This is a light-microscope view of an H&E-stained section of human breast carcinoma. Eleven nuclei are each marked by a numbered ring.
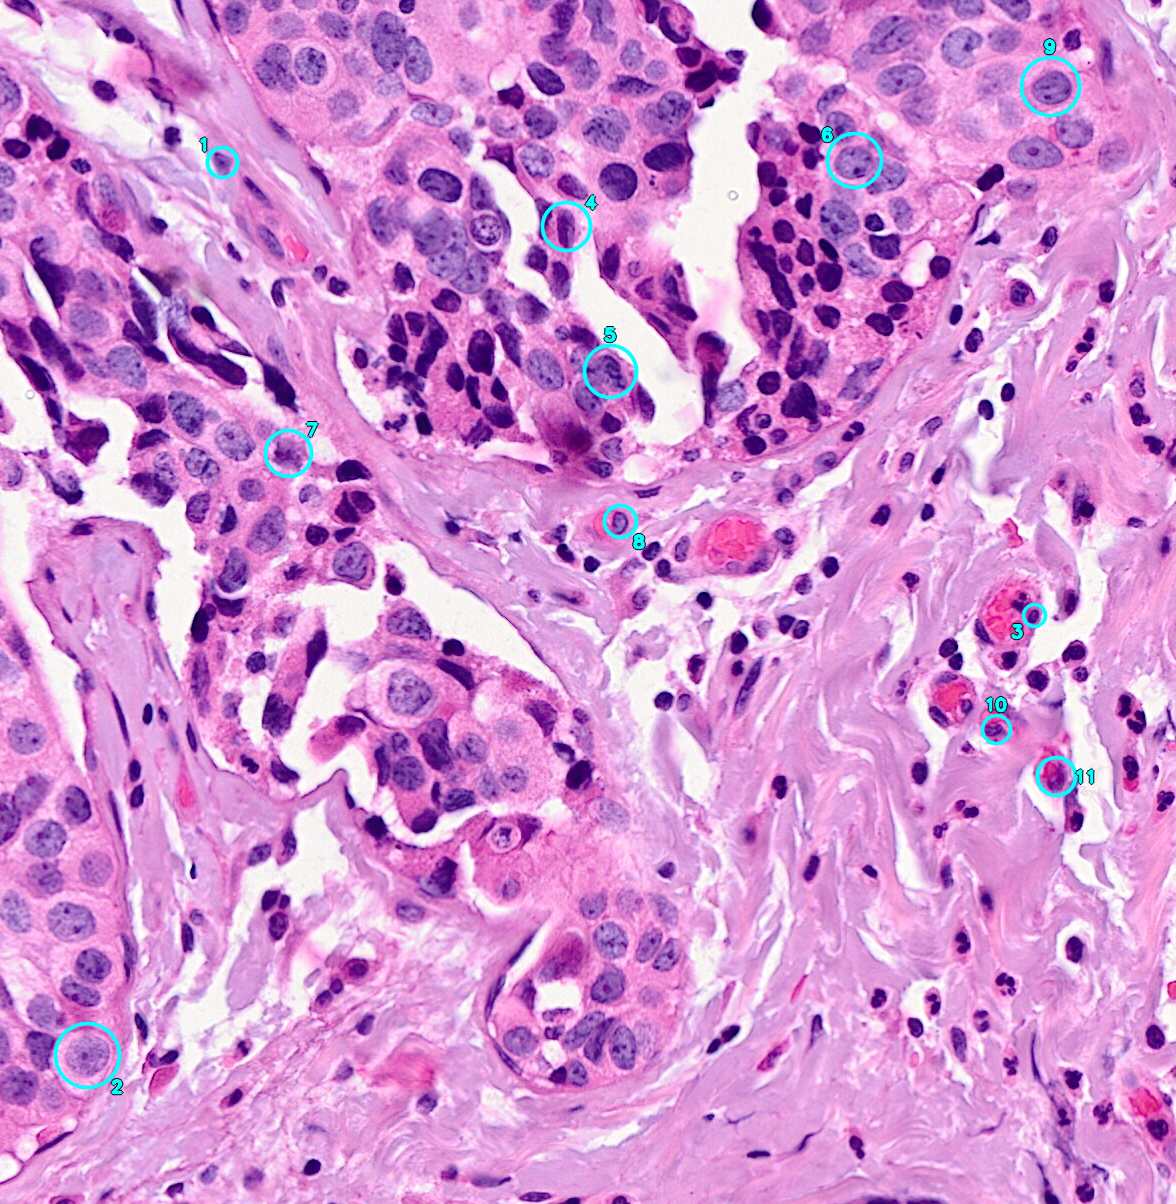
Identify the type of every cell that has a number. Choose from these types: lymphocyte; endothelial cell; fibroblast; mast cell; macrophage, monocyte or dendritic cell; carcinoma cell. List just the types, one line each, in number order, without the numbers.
fibroblast
carcinoma cell
endothelial cell
carcinoma cell
carcinoma cell
carcinoma cell
carcinoma cell
endothelial cell
carcinoma cell
endothelial cell
endothelial cell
